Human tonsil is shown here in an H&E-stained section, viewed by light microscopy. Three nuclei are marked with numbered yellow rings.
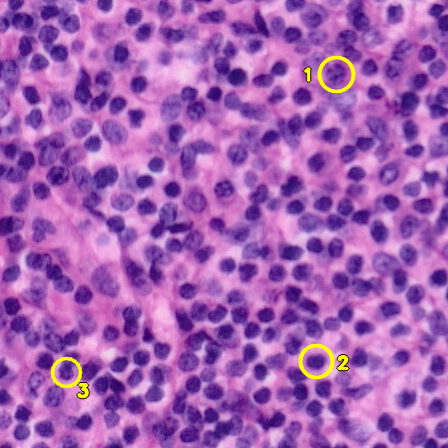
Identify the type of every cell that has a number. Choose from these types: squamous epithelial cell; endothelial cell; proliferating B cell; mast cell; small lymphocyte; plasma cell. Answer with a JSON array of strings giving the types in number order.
["plasma cell", "small lymphocyte", "small lymphocyte"]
